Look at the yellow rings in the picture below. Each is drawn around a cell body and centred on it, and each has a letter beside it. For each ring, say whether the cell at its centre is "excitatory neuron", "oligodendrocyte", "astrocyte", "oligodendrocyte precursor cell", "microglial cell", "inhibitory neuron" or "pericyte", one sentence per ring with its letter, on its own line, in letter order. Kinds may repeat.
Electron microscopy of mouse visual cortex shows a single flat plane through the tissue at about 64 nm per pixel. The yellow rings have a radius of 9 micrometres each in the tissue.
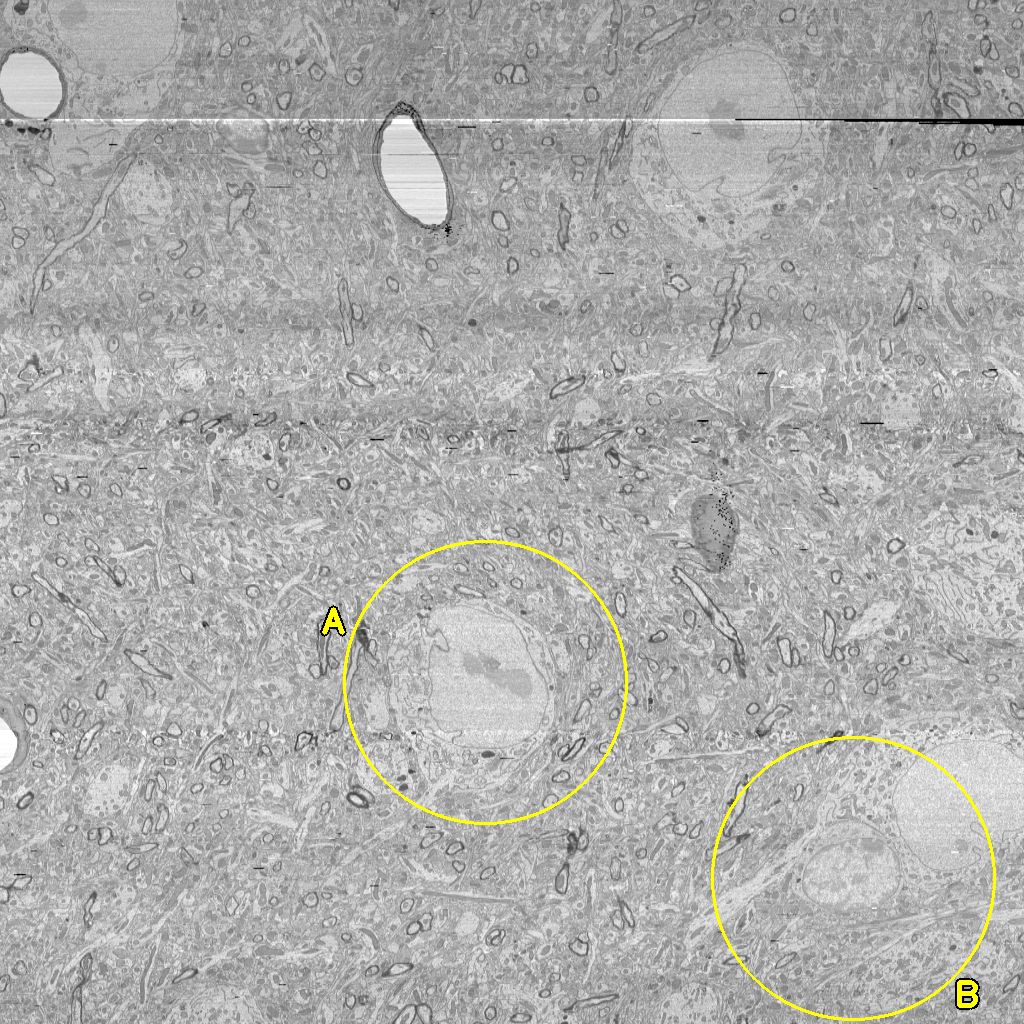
The centred cell of ring A is an inhibitory neuron.
The centred cell of ring B is an oligodendrocyte.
